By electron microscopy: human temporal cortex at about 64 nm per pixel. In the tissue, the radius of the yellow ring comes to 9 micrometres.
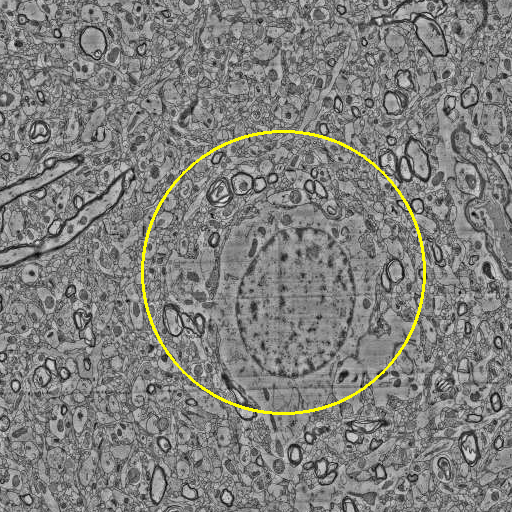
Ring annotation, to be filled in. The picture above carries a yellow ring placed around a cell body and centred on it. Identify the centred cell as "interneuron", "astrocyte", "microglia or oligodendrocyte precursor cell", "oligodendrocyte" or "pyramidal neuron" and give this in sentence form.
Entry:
The cell in the middle of the ring is an astrocyte.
